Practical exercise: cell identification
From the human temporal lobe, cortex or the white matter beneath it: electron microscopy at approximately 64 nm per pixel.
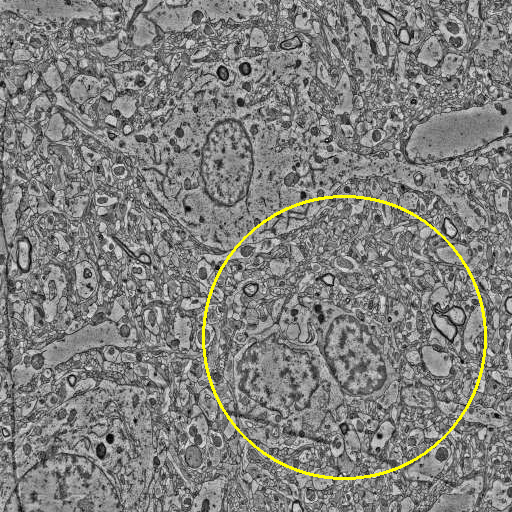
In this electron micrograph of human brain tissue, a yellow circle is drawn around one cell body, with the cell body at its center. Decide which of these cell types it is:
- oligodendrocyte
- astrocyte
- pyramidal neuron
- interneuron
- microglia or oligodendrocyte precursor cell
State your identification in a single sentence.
The ringed cell is an oligodendrocyte.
